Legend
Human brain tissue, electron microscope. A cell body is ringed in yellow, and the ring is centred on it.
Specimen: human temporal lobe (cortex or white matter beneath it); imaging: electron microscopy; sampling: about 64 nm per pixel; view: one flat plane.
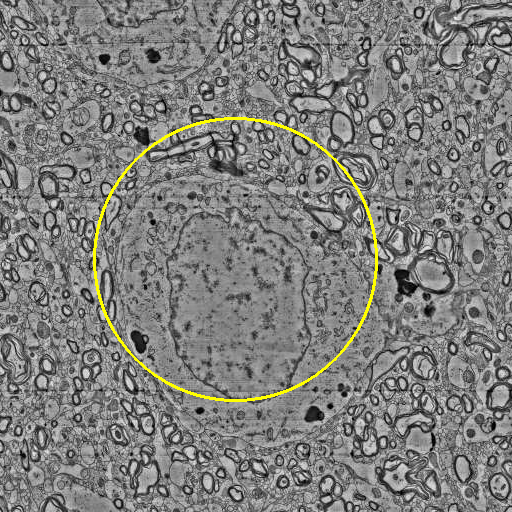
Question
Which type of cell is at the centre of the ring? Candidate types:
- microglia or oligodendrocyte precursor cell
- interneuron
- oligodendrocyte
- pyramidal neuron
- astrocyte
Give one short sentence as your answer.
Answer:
The yellow ring is centred here on a pyramidal neuron.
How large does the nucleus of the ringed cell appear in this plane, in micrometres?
In this plane the nucleus measures roughly 13 by 10 micrometres.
